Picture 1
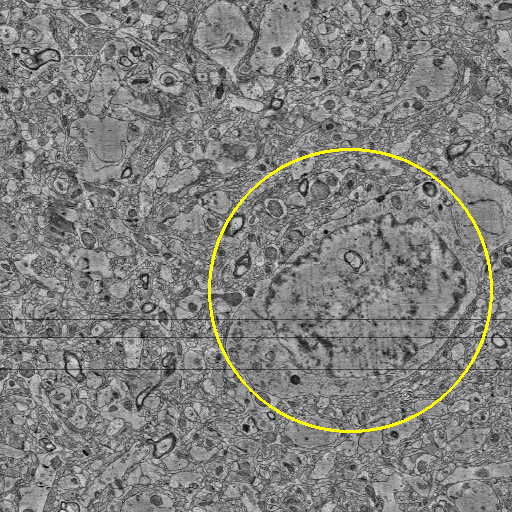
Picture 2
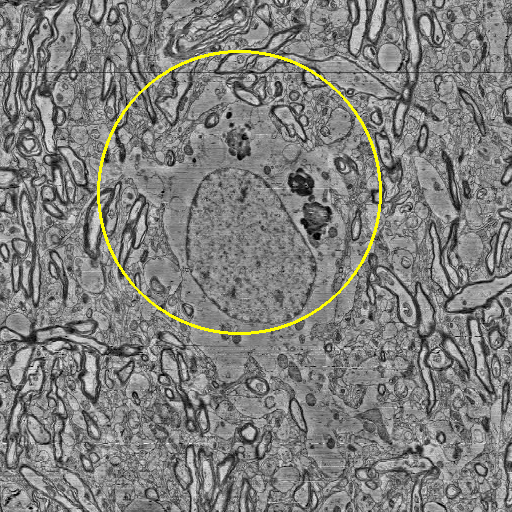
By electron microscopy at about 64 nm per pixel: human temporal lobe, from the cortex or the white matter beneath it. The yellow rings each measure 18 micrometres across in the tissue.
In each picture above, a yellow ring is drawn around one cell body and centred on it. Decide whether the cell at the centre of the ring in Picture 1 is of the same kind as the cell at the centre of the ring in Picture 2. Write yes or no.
no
